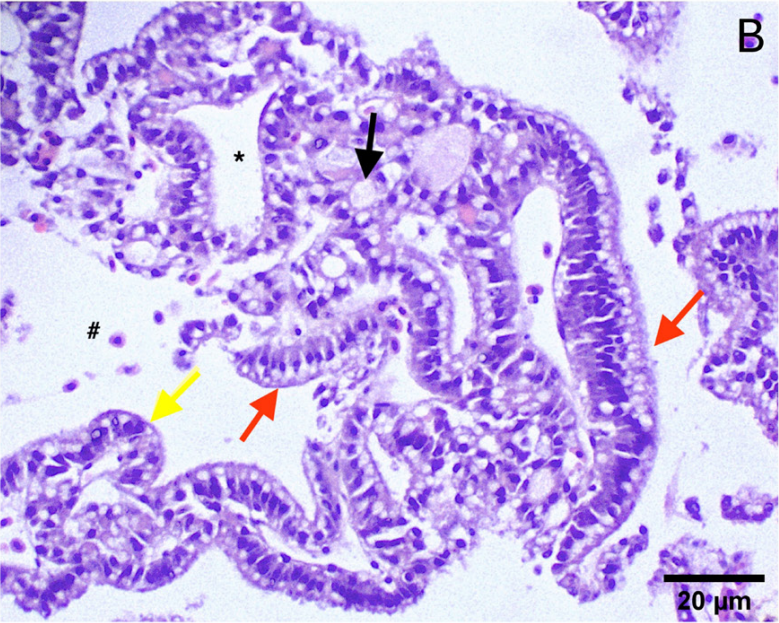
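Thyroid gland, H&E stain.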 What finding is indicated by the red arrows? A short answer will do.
cylindric, sometimes stratified, hyperplastic and vacuolated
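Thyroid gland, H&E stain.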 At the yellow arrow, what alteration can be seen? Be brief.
papillary infolding of the follicular epithelium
